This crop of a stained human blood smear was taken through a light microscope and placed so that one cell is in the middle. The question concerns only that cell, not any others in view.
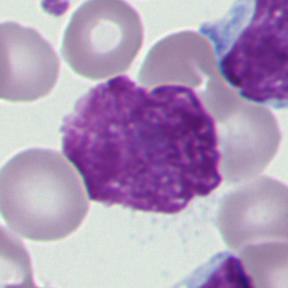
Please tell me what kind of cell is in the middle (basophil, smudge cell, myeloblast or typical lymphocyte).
smudge cell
